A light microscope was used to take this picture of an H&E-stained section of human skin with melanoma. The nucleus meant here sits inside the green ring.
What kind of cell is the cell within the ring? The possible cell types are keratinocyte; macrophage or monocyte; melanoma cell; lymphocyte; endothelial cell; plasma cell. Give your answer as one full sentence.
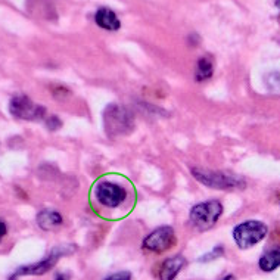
The cell within the ring appears to be a plasma cell.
